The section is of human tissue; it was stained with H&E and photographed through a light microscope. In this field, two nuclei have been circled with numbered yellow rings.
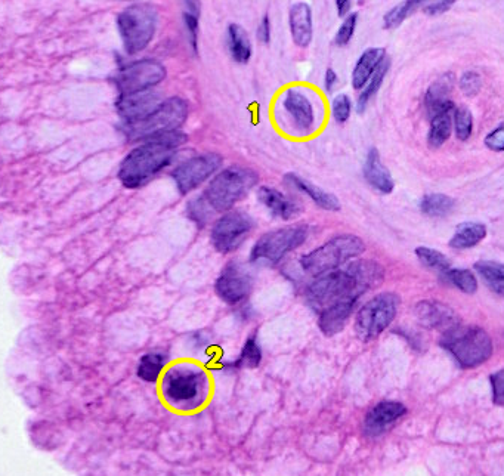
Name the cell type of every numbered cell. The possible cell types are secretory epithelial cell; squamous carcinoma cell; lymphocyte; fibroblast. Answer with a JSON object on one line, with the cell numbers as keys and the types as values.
{"1": "fibroblast", "2": "secretory epithelial cell"}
